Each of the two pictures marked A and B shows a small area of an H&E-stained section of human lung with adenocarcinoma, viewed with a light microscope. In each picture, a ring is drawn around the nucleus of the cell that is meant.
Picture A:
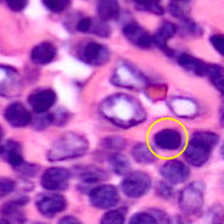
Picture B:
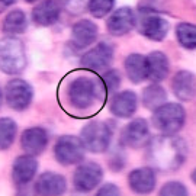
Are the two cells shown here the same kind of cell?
yes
